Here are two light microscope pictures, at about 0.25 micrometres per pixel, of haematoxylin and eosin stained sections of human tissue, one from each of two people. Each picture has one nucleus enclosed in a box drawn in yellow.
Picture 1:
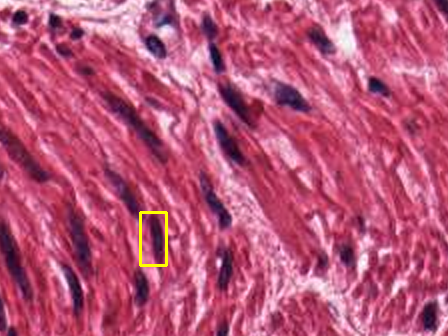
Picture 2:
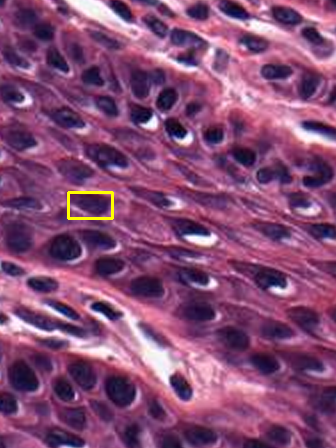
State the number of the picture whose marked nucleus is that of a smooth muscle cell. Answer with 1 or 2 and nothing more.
1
